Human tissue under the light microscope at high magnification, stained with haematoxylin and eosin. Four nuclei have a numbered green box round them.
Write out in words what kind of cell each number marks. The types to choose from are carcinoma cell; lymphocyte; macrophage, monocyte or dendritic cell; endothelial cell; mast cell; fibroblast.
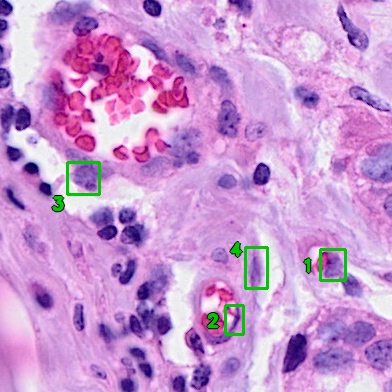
Cells 1, 2 and 3 are endothelial cells. Cell 4 is a fibroblast.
